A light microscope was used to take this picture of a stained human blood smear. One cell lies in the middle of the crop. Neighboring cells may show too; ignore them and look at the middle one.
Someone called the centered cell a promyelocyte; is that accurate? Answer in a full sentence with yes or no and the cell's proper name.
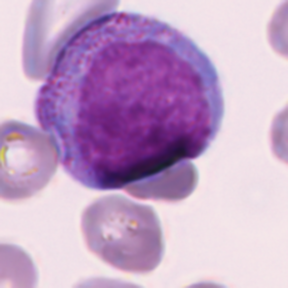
Yes, the cell in the middle of the crop is a promyelocyte.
